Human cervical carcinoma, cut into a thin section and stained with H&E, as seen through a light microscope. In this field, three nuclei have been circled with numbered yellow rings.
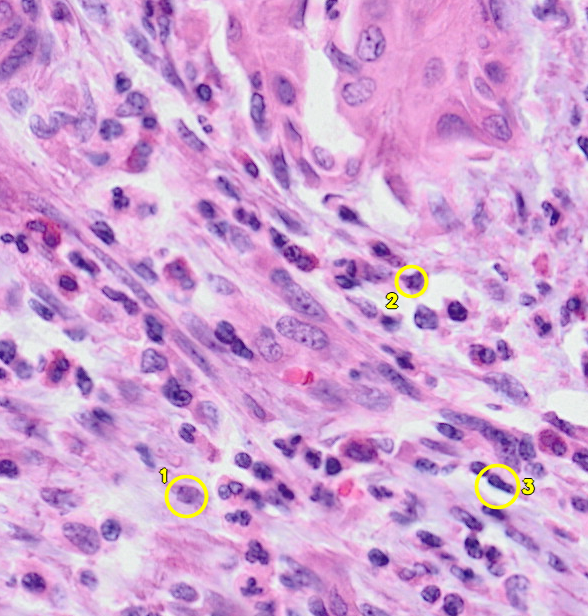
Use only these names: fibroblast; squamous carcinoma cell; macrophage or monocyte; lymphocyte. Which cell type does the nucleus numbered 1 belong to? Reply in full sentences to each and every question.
Recognised here as a fibroblast is the cell numbered 1.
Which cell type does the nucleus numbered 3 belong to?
The cell given label 3 is a lymphocyte.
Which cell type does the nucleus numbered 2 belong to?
Cell 2 in the field is a macrophage or monocyte.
